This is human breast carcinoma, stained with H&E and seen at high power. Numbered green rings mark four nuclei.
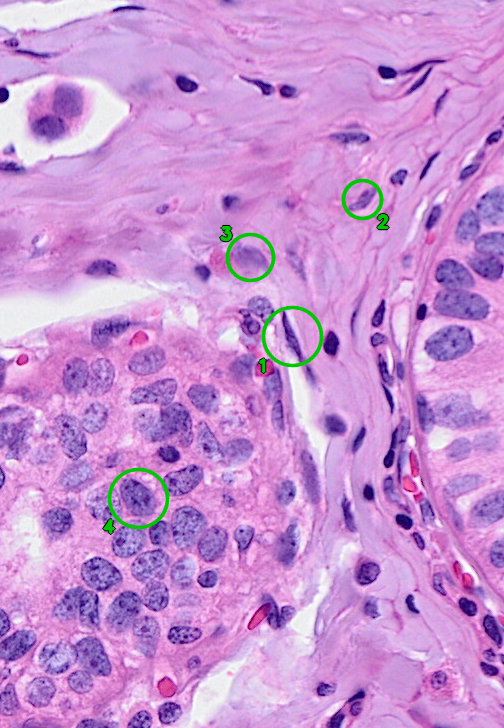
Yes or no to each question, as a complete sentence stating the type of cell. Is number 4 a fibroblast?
No, as for cell 4, it is a carcinoma cell and not a fibroblast.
